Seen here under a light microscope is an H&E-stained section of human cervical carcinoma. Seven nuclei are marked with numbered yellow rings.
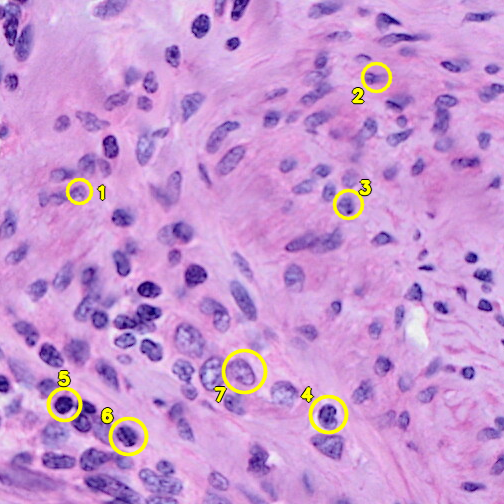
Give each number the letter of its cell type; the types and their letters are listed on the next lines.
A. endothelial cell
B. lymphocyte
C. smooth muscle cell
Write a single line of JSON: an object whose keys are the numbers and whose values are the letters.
{"1": "C", "2": "C", "3": "C", "4": "B", "5": "B", "6": "B", "7": "A"}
